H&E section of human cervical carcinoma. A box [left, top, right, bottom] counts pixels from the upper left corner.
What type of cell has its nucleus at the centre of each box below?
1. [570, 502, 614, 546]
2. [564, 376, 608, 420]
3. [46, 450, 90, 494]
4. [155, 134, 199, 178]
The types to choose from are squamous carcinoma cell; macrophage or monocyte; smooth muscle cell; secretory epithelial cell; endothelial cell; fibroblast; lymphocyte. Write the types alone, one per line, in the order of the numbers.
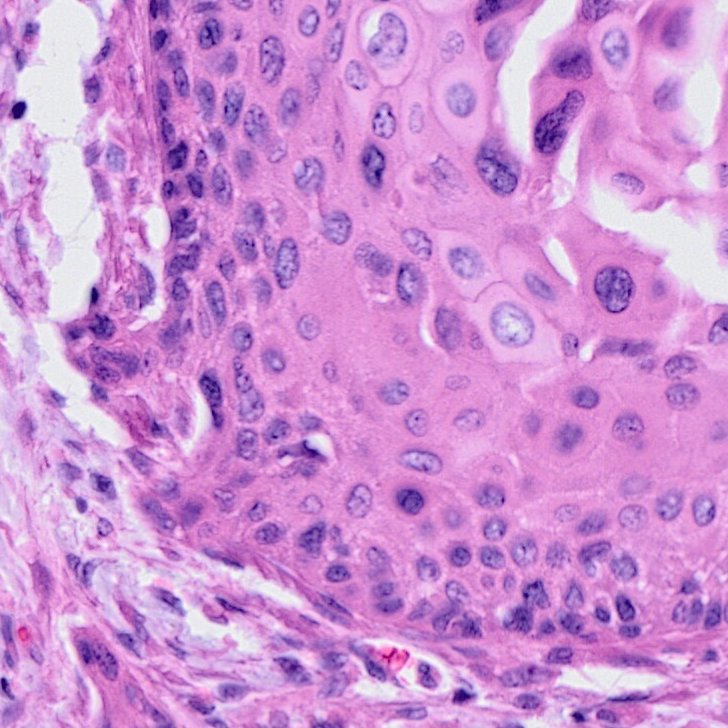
squamous carcinoma cell
squamous carcinoma cell
fibroblast
squamous carcinoma cell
